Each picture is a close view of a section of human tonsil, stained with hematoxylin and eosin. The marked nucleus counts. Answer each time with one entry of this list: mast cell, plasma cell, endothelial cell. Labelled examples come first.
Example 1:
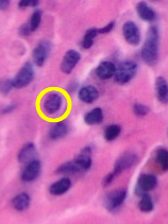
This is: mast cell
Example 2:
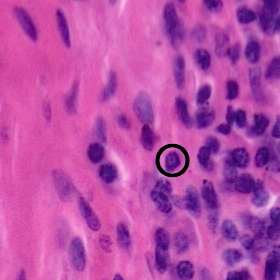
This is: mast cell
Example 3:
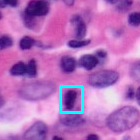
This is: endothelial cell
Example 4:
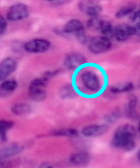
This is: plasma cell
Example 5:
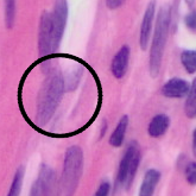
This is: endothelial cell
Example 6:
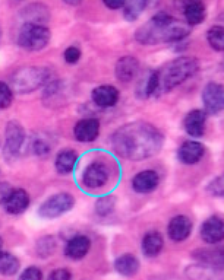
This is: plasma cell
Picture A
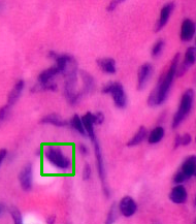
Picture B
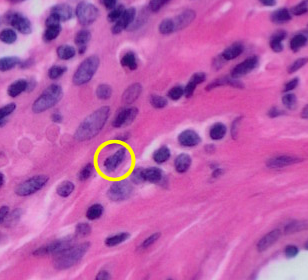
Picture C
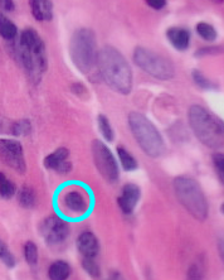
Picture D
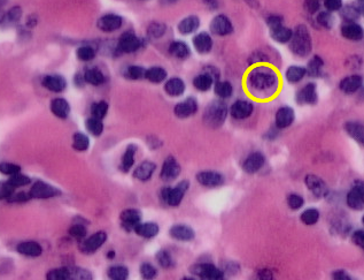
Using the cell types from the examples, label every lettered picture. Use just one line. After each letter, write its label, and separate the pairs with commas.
A endothelial cell, B mast cell, C mast cell, D plasma cell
